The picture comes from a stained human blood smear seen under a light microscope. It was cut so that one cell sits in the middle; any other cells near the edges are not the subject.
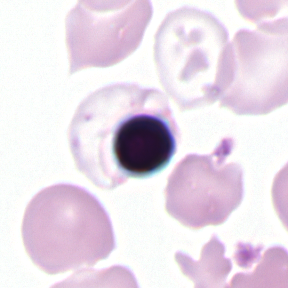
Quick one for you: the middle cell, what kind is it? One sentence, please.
The central element of this crop is a cell, namely a normoblast.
